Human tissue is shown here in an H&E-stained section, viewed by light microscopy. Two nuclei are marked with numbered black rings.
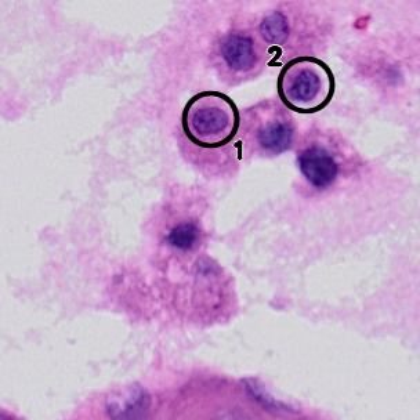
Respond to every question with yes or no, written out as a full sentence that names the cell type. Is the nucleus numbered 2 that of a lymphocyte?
Yes, number 2 marks a cell that is a lymphocyte.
